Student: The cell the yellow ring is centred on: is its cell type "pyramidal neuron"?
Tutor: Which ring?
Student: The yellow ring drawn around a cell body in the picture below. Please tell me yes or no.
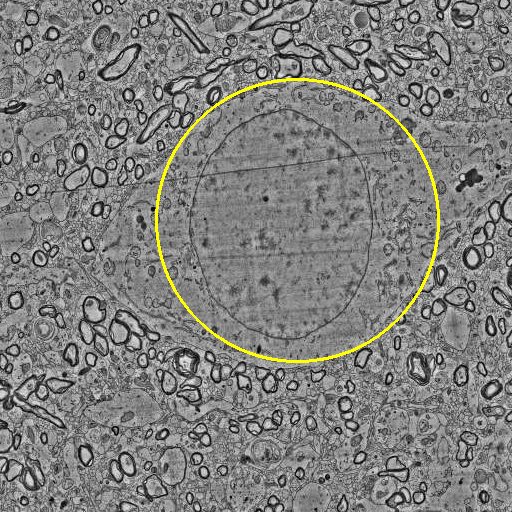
yes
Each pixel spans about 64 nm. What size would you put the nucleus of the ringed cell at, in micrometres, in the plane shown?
The nucleus works out at approximately 15 by 12 micrometres in this plane.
